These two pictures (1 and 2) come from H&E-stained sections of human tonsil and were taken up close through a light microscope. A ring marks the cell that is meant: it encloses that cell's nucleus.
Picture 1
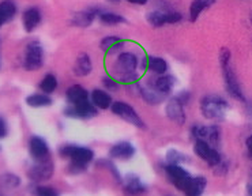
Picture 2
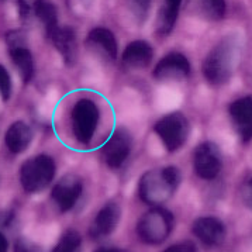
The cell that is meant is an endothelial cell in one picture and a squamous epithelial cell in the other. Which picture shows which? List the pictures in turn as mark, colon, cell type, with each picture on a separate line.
1: endothelial cell
2: squamous epithelial cell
